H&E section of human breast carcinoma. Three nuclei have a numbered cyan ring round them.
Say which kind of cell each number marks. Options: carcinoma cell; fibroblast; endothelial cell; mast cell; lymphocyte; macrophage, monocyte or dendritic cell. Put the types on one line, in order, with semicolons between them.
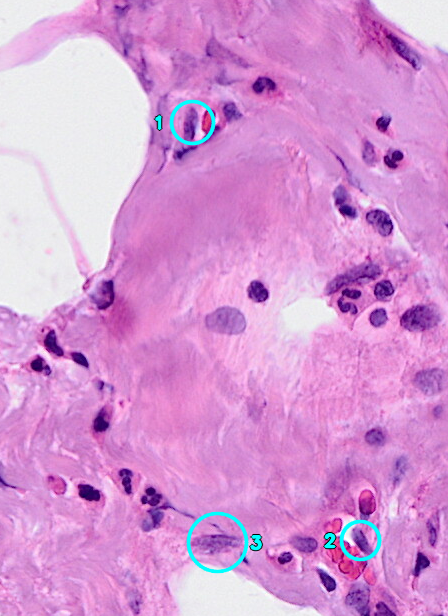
endothelial cell; endothelial cell; fibroblast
